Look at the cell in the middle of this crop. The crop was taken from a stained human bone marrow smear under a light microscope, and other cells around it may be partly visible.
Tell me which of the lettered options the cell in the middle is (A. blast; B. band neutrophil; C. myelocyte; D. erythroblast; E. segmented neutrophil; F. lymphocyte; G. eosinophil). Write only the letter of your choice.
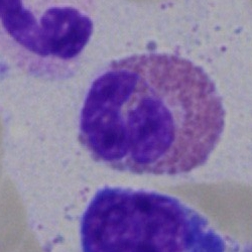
G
